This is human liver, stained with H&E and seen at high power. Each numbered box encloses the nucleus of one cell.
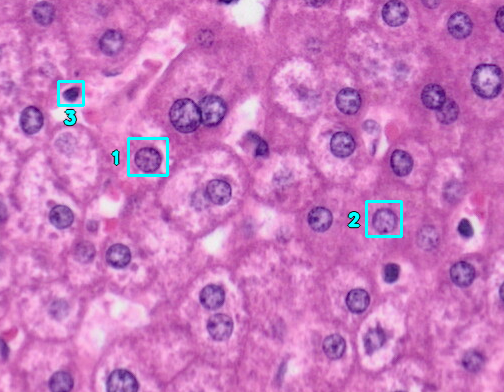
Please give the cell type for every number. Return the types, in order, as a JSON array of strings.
["hepatocyte", "hepatocyte", "lymphocyte"]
